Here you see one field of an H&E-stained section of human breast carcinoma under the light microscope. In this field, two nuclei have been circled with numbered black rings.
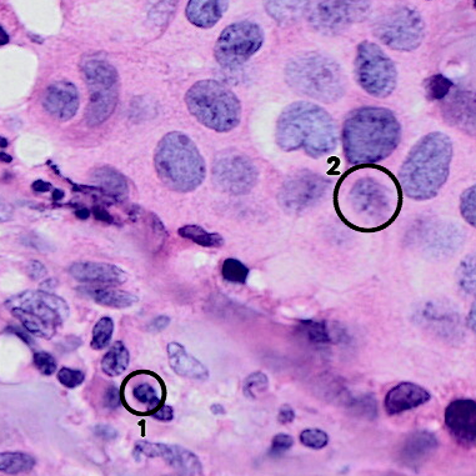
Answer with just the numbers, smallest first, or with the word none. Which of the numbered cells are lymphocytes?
1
